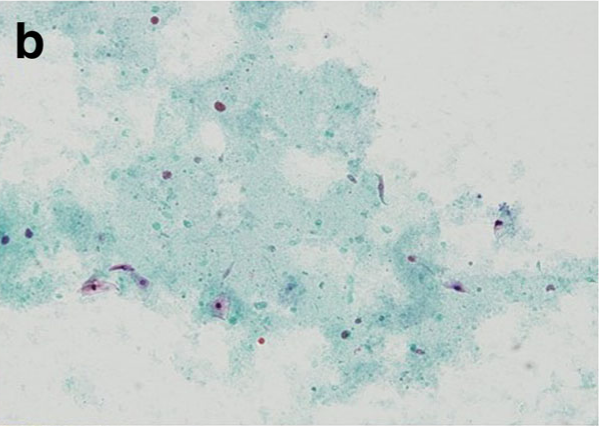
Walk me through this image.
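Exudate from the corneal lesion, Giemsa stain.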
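A few small, scattered cells and cell fragments with dark purple to pink-red stained nuclei or bodies lie within it, some of them elongated. Fine granular material between them suggests necrotic debris, and there are no cohesive sheets of cells.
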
